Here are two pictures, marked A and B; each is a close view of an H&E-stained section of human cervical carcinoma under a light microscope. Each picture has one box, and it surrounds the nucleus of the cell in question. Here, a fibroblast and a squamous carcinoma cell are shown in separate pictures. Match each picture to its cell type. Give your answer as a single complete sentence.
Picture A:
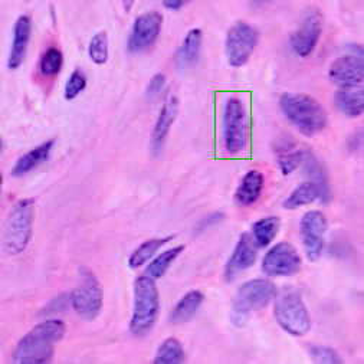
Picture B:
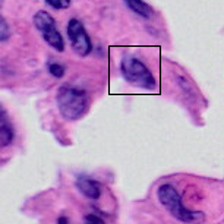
Picture A shows a fibroblast and picture B shows a squamous carcinoma cell.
